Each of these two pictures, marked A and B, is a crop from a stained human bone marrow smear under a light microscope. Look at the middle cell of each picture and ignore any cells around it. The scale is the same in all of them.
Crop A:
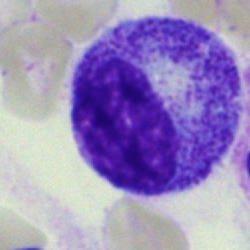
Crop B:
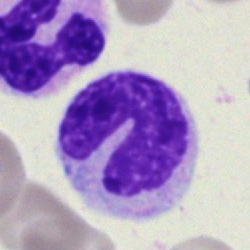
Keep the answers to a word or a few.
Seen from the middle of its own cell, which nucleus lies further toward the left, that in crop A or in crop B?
A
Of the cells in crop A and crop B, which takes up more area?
A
